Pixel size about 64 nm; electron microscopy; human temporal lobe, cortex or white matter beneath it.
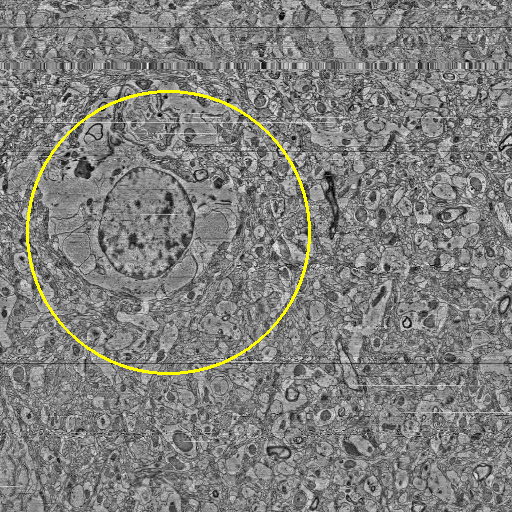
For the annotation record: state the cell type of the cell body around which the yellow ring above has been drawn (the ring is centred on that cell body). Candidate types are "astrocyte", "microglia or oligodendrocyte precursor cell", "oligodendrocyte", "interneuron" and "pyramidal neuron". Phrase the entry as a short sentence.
The ringed cell is an astrocyte.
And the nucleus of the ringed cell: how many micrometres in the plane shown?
About 7 by 6 micrometres in this plane.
